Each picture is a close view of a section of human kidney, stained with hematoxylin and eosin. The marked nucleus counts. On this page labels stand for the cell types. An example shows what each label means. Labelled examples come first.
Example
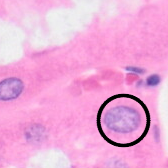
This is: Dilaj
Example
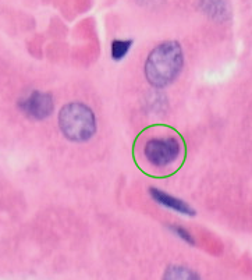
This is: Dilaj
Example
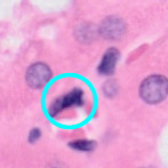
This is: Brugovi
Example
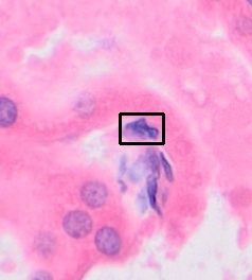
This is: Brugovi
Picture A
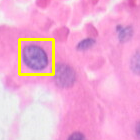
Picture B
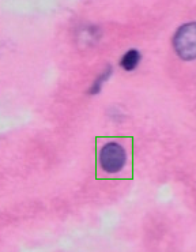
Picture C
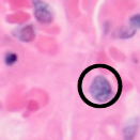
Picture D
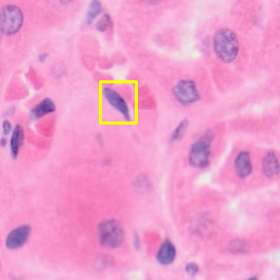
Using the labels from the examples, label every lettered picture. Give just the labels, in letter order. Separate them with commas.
Dilaj, Dilaj, Brugovi, Brugovi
